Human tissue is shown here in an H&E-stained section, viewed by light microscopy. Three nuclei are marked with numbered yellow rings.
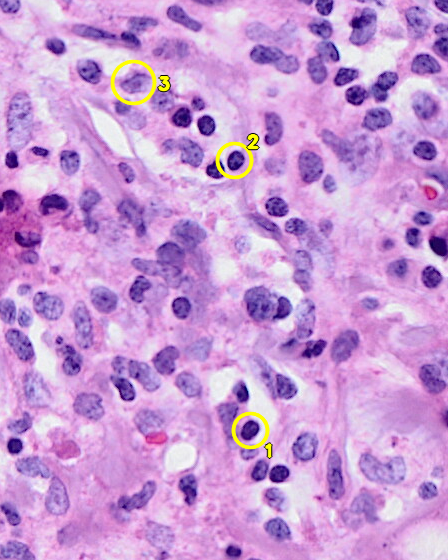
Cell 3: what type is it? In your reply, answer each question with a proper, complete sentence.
The cell tagged with 3 in this tissue section is a macrophage, monocyte or dendritic cell.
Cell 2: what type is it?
In the marked set, the cell given number 2 is a lymphocyte.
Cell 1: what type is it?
The cell pointed out as number 1 is a lymphocyte.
